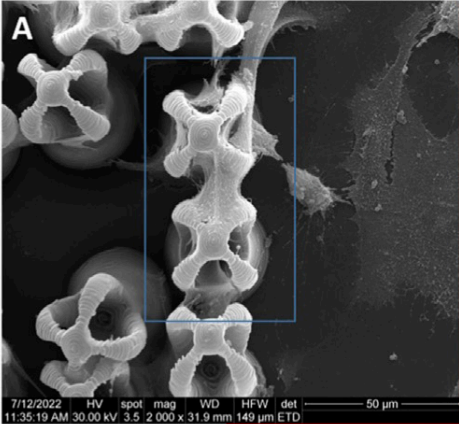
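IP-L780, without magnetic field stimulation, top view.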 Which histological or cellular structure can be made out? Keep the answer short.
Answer: microcage-like structures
